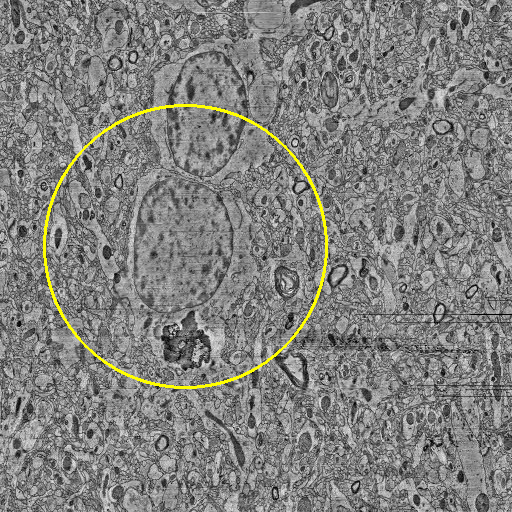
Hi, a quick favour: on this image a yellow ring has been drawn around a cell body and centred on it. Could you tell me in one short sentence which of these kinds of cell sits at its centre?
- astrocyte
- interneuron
The ring is centred on an astrocyte.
